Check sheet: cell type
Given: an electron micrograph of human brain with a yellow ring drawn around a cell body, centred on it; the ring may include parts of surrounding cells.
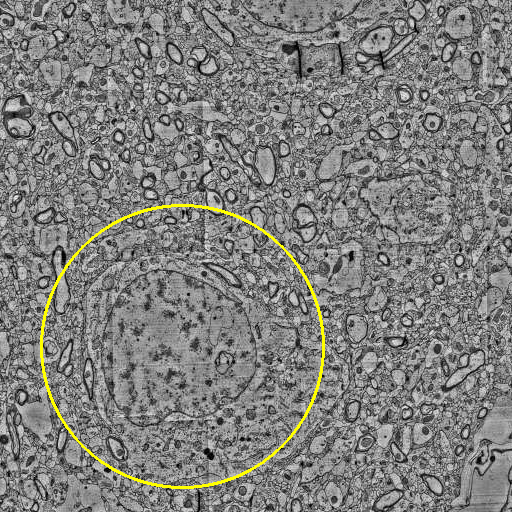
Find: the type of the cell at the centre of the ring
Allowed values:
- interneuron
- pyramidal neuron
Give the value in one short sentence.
Here the ringed cell is a pyramidal neuron.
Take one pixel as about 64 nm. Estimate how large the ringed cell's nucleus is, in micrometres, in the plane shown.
About 10 micrometers across, in this plane.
